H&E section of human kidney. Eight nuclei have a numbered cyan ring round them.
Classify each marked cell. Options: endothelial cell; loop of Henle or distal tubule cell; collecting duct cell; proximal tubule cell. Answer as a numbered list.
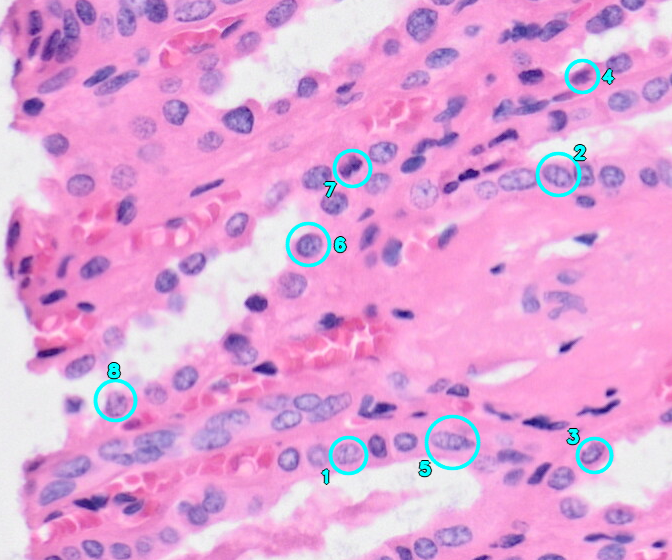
1. collecting duct cell
2. collecting duct cell
3. loop of Henle or distal tubule cell
4. loop of Henle or distal tubule cell
5. collecting duct cell
6. loop of Henle or distal tubule cell
7. loop of Henle or distal tubule cell
8. loop of Henle or distal tubule cell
